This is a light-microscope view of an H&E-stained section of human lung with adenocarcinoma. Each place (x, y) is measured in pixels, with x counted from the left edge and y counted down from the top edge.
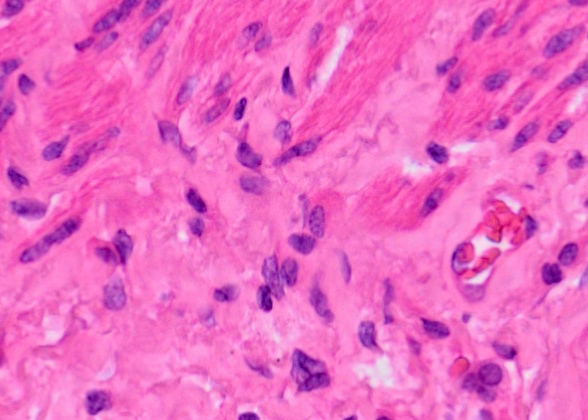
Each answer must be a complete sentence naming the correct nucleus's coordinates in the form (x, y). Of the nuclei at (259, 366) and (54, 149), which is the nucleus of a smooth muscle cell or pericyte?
Of the pair, the nucleus located at (54, 149) belongs to a smooth muscle cell or pericyte.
